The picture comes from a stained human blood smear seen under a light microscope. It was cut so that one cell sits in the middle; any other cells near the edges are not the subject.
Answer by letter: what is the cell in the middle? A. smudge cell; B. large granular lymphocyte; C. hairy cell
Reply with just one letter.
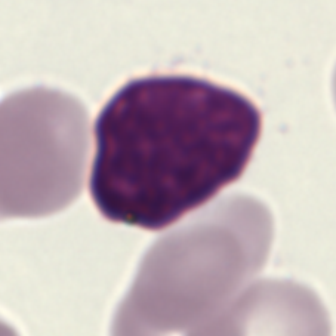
A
